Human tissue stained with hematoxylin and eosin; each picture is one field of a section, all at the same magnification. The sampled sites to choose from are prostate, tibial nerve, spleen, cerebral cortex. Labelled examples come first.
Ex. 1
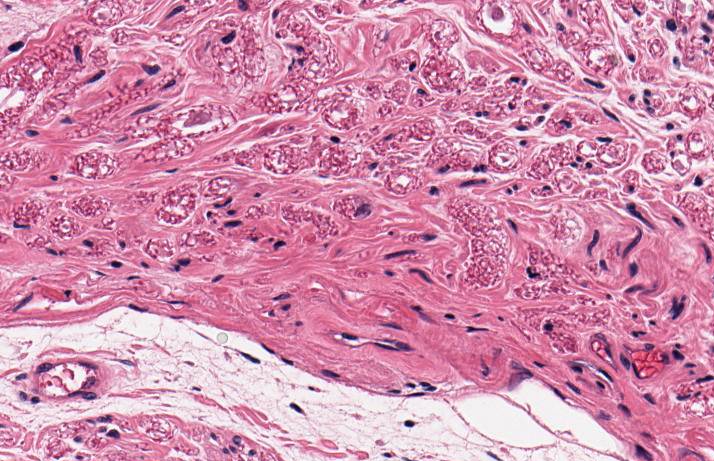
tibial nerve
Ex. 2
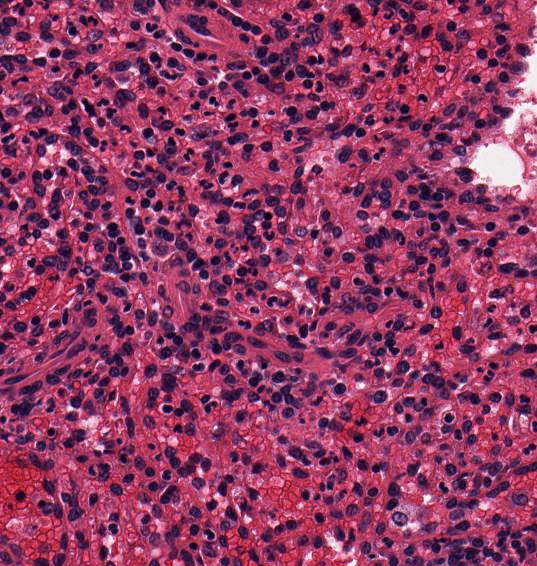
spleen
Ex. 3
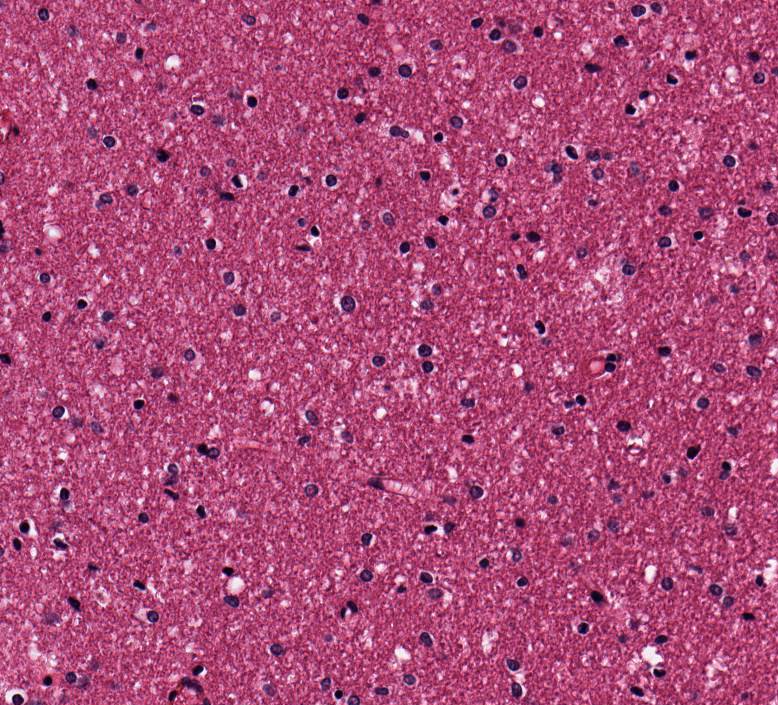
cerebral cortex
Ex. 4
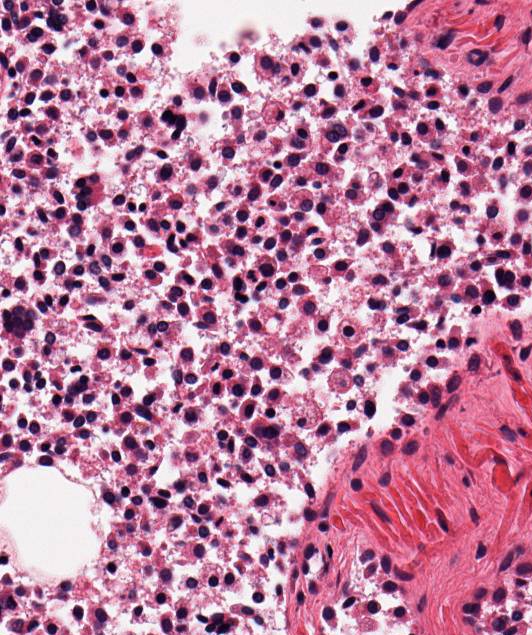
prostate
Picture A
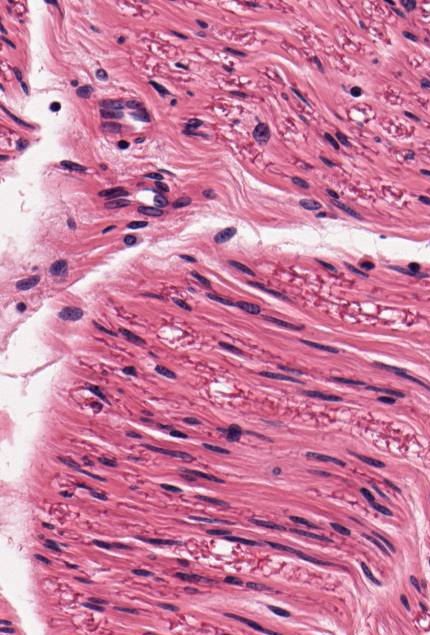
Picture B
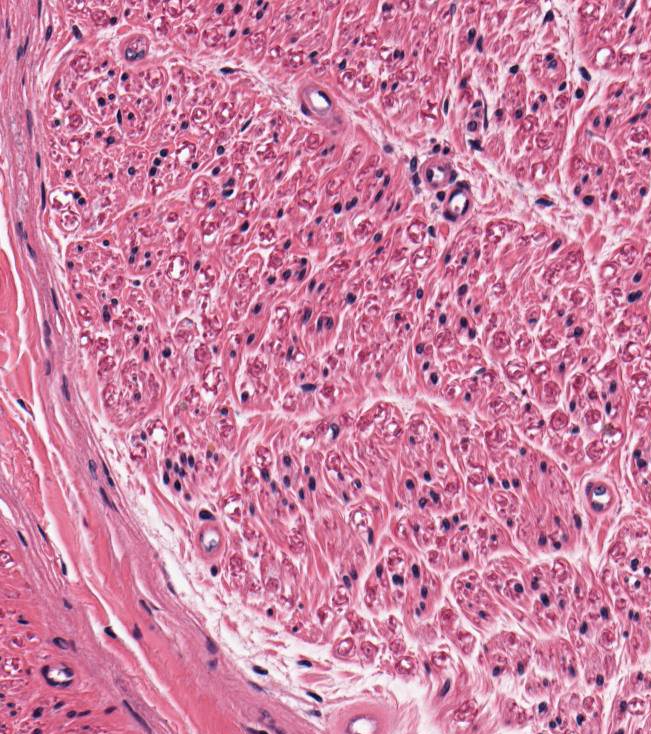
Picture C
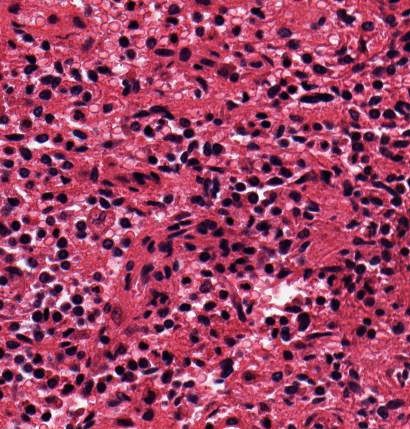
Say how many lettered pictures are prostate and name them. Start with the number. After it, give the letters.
0, none of them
